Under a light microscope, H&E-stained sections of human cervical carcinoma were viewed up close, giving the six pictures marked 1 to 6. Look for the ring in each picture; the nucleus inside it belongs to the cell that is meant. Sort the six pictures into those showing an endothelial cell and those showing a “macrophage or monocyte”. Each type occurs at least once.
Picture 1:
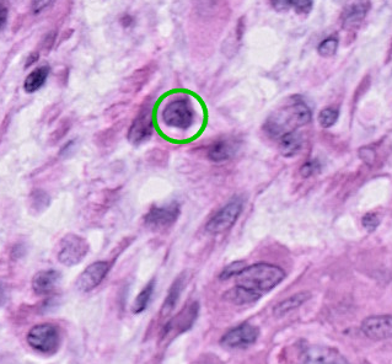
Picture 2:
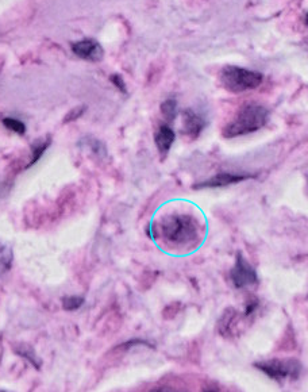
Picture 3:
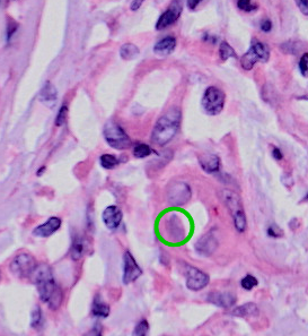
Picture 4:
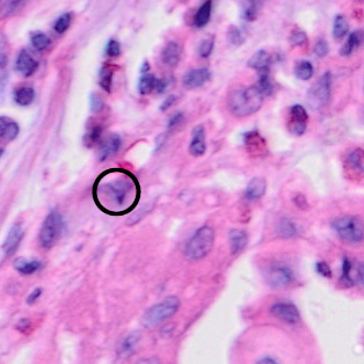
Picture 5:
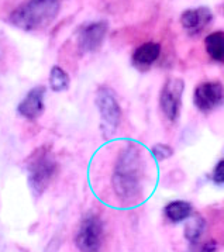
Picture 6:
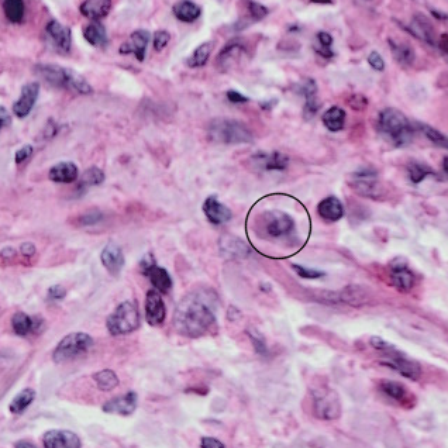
1: macrophage or monocyte
2: macrophage or monocyte
3: endothelial cell
4: endothelial cell
5: endothelial cell
6: macrophage or monocyte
